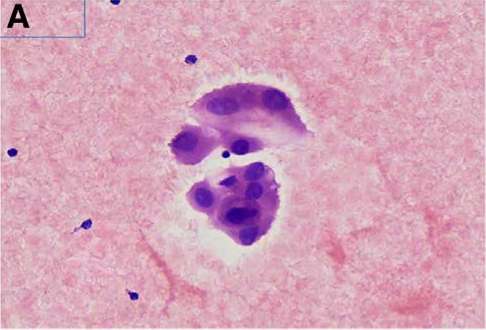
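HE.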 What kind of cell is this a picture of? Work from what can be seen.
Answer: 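Atypical epithelioid cells. A small cohesive cluster of cells lies on a pink granular background.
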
